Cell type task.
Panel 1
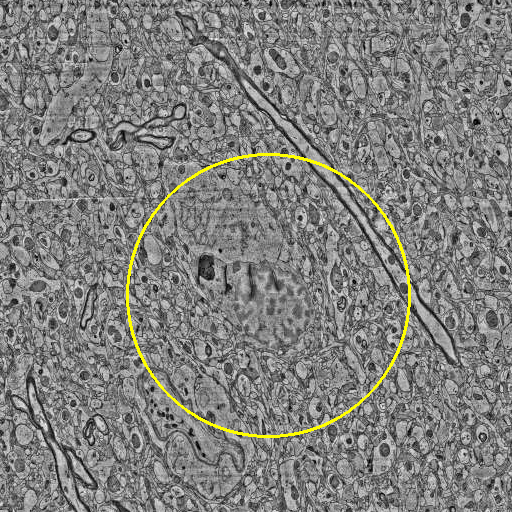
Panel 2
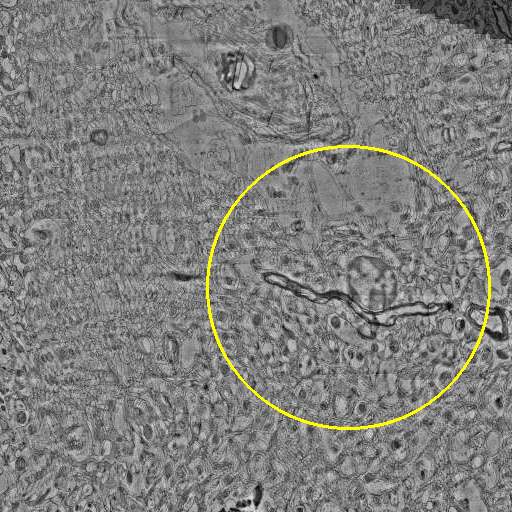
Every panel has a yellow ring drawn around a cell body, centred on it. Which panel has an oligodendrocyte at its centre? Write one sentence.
It sits at the centre of the ring in Panel 1.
